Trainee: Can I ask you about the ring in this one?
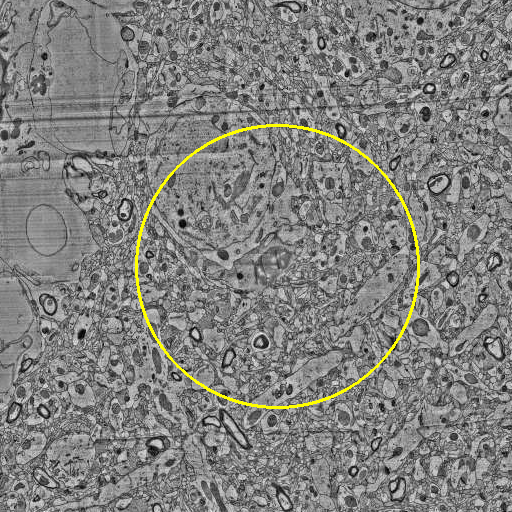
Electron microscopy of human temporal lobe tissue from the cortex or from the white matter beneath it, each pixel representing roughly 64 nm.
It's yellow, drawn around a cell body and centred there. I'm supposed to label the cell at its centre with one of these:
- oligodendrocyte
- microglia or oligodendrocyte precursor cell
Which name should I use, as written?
oligodendrocyte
